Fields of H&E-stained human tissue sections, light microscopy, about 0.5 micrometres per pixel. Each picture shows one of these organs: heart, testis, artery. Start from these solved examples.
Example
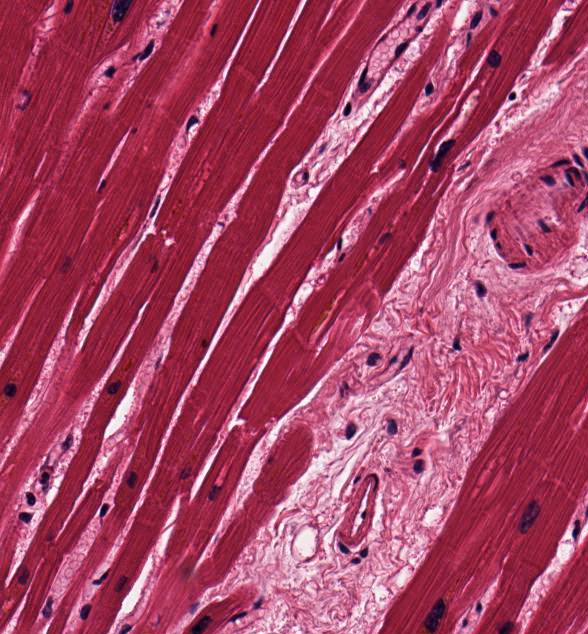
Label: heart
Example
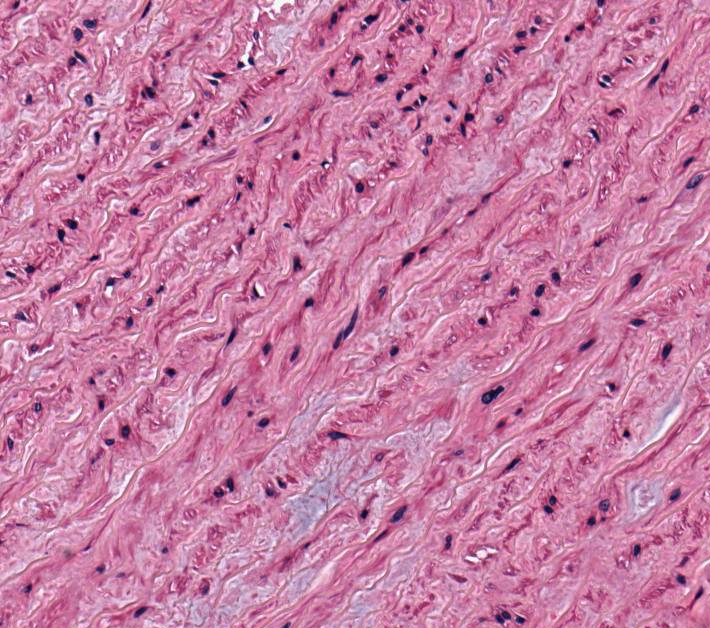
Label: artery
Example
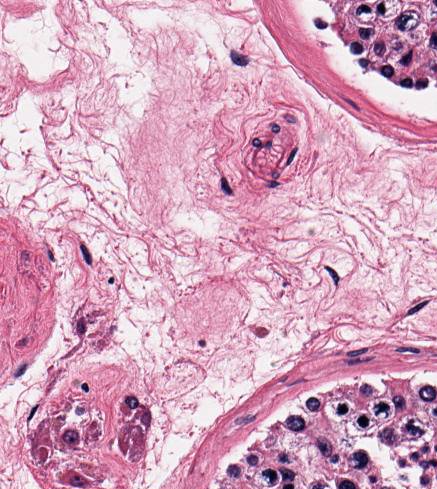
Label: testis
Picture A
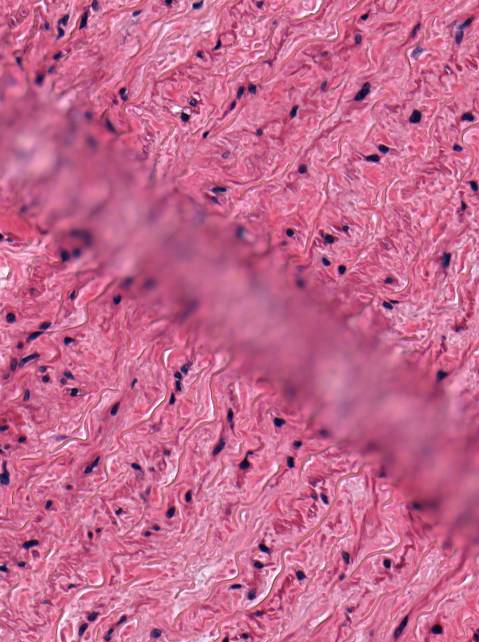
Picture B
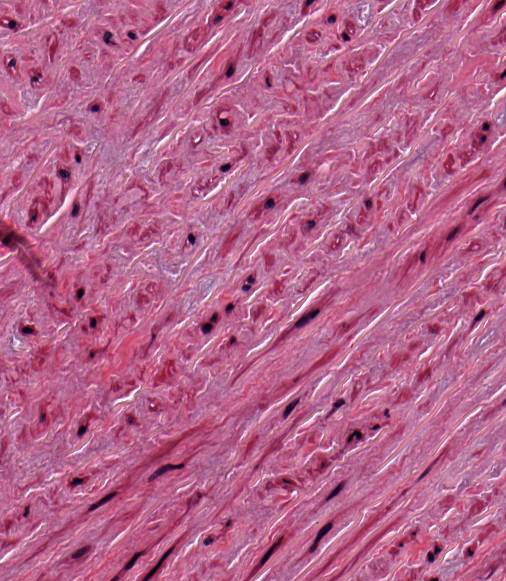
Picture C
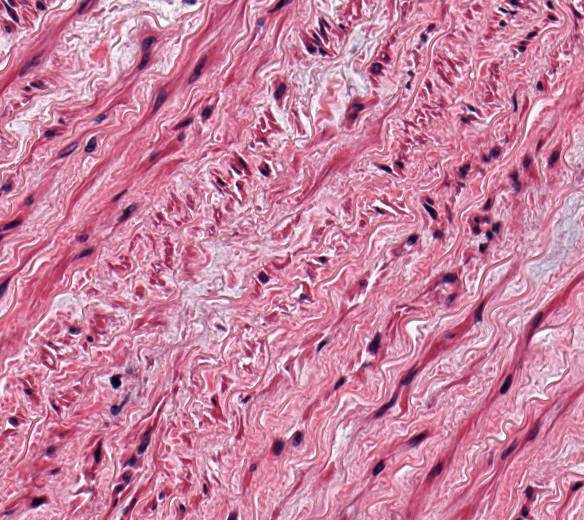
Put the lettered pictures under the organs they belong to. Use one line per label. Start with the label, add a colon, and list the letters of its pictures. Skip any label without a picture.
artery: A, B, C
